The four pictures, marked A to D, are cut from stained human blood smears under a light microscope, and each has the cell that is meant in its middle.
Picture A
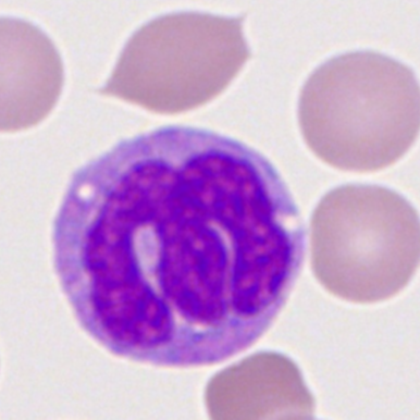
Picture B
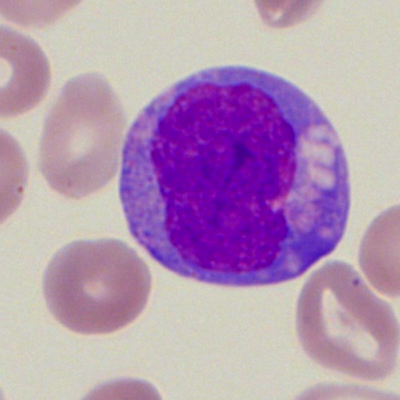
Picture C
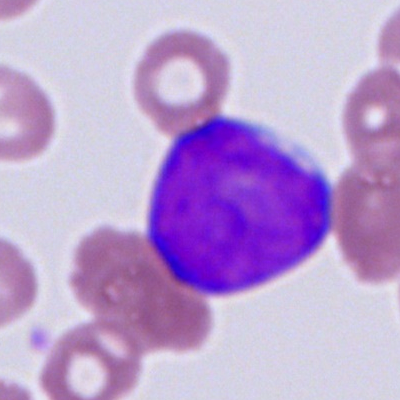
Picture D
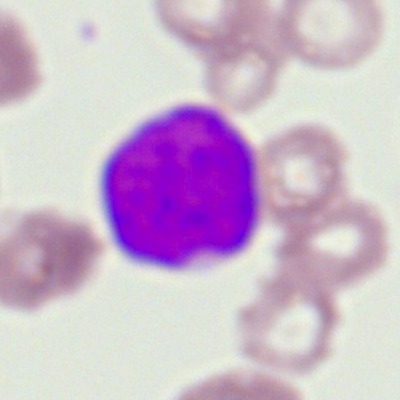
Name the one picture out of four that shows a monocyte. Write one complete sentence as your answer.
The picture with the monocyte is A.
